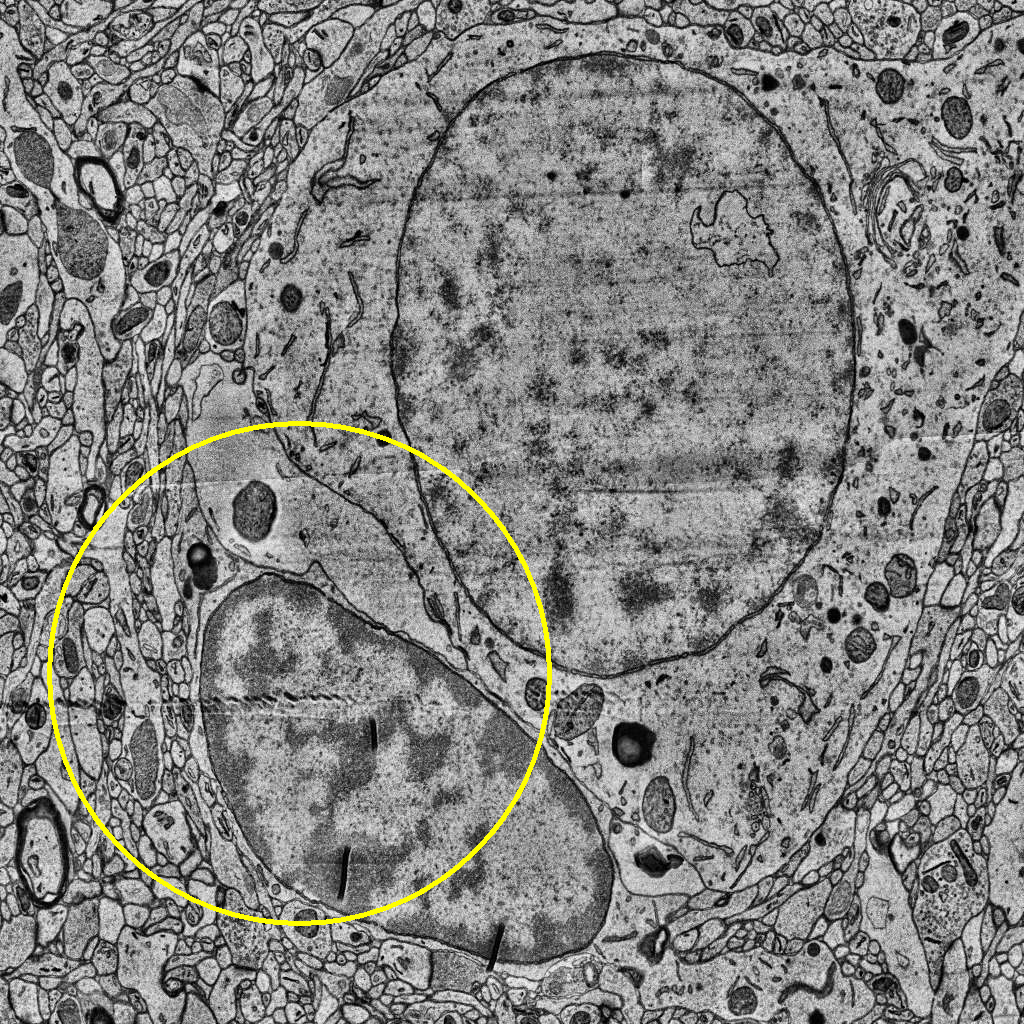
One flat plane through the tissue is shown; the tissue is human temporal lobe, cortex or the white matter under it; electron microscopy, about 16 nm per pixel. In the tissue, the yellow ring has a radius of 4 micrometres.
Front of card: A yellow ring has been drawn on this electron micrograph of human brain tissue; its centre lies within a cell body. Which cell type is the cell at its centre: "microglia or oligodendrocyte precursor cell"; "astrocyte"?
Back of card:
microglia or oligodendrocyte precursor cell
